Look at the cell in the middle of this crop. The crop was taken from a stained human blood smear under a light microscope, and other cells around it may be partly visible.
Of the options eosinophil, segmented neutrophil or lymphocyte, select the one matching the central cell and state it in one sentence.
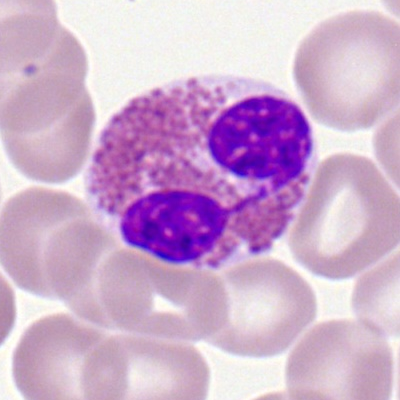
Within this crop, an eosinophil occupies the central position.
